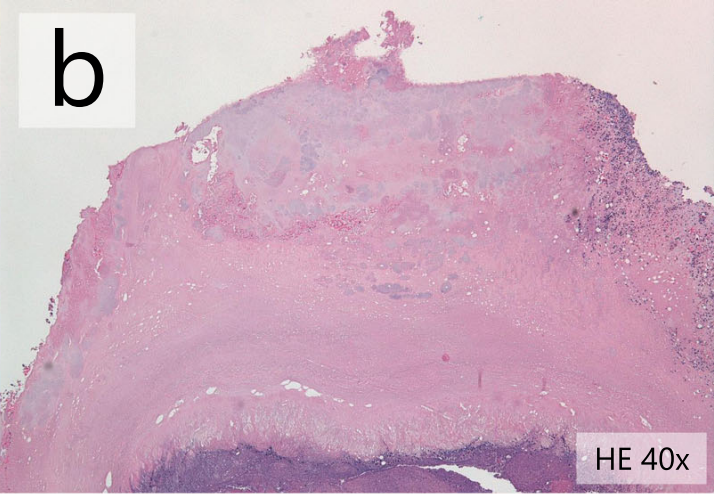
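Along the right margin and along the lower border, dense crowds of small dark purple nuclei mark an infiltrate of inflammatory cells. The upper surface is irregular and ragged, with loose fragments of pink material projecting from it. Small clear spaces and clefts are scattered through the pink material.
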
